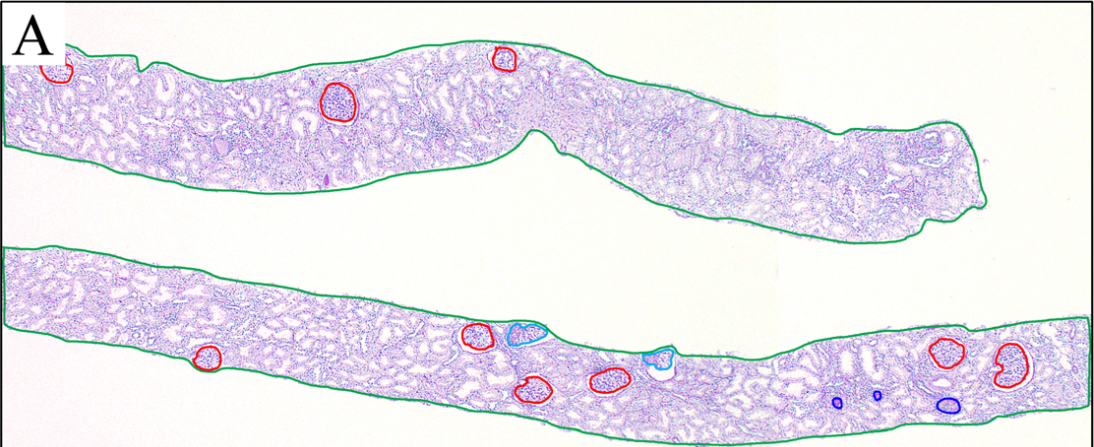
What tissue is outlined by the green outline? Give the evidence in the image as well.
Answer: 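The green line runs around the whole edge of both tissue cores. The enclosed tissue is packed with tubule profiles and contains round glomerular tufts. That points to this answer: cortex.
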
